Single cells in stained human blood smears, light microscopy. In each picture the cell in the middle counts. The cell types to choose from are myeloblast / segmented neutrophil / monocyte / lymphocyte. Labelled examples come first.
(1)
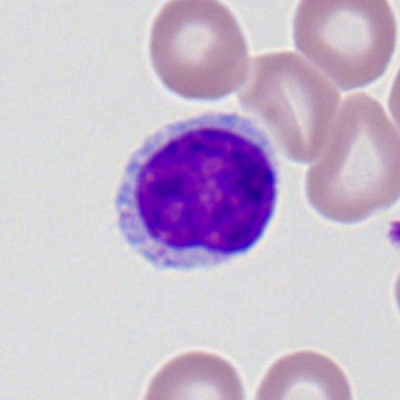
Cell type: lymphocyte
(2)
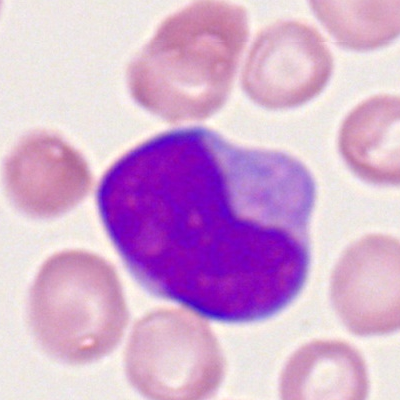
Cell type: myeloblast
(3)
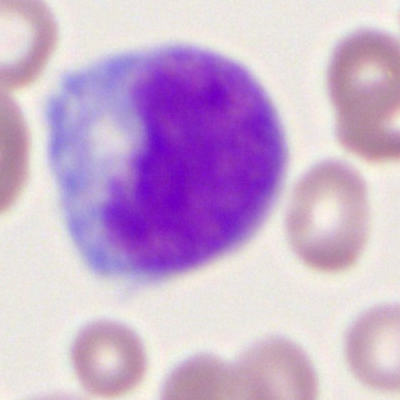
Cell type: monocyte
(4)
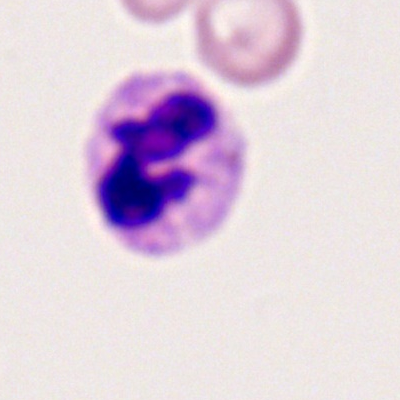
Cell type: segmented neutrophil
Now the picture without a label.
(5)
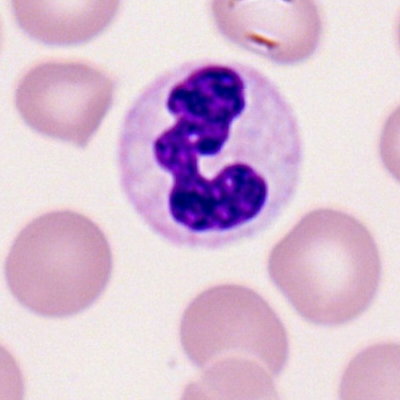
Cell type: segmented neutrophil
